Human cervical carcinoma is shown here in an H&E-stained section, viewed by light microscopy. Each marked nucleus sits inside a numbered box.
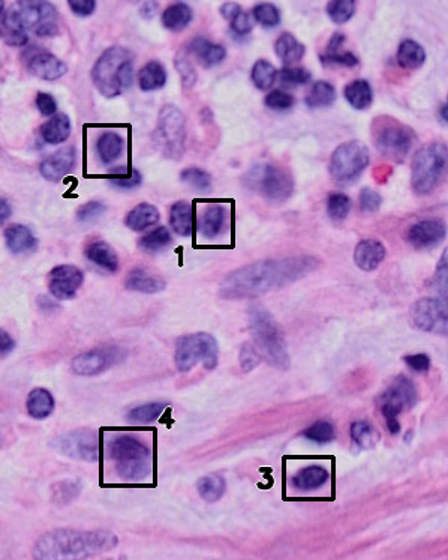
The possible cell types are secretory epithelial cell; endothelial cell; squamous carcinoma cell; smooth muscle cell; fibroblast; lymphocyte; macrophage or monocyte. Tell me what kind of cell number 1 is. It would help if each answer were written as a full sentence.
The nucleus labeled 1 belongs to a lymphocyte.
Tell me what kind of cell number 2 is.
The numeral 2 marks a lymphocyte in this section.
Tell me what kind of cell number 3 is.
In the marked set, the cell given number 3 is a lymphocyte.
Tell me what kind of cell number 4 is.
Among the marked cells, number 4 is a macrophage or monocyte.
